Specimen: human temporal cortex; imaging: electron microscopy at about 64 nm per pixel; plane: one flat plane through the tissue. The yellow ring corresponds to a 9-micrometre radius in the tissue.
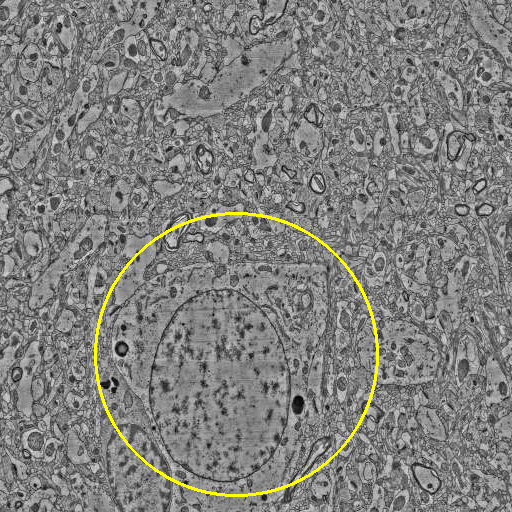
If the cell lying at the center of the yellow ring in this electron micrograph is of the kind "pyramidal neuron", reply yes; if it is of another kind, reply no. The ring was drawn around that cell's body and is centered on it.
yes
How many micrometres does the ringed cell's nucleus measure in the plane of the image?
Approximately 12 micrometres long and 9 micrometres wide, in this plane.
